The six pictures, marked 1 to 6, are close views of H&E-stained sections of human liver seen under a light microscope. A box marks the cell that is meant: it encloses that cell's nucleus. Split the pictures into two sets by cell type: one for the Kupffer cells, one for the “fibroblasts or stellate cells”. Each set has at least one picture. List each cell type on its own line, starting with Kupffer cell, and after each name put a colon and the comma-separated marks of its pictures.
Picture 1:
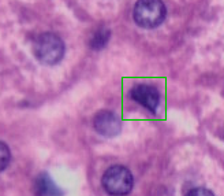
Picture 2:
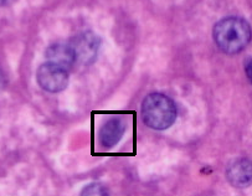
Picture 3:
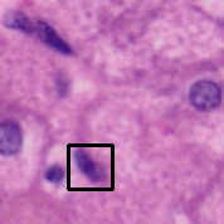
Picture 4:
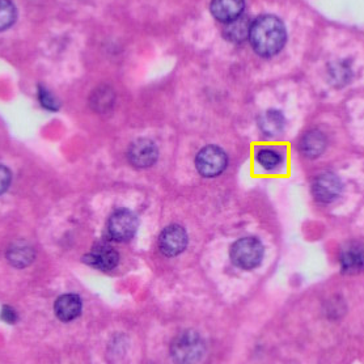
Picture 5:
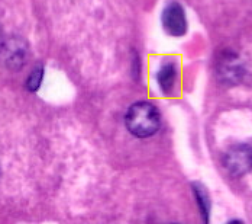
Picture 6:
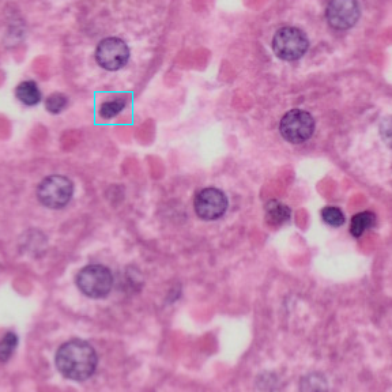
Kupffer cell: 2, 4, 5
fibroblast or stellate cell: 1, 3, 6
